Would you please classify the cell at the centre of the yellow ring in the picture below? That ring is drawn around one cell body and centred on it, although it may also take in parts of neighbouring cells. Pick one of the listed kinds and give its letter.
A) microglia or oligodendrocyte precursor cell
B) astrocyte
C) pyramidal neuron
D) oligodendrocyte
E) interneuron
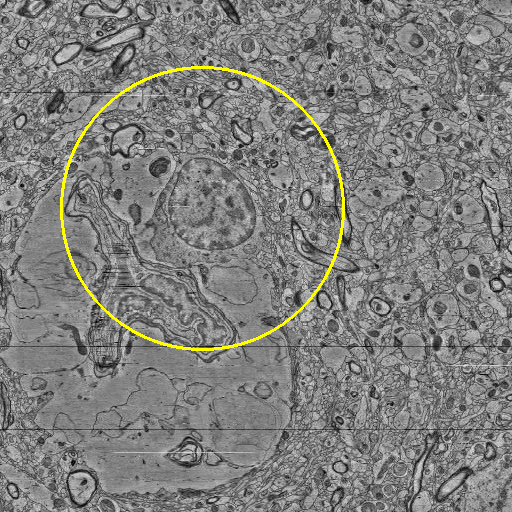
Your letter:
D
